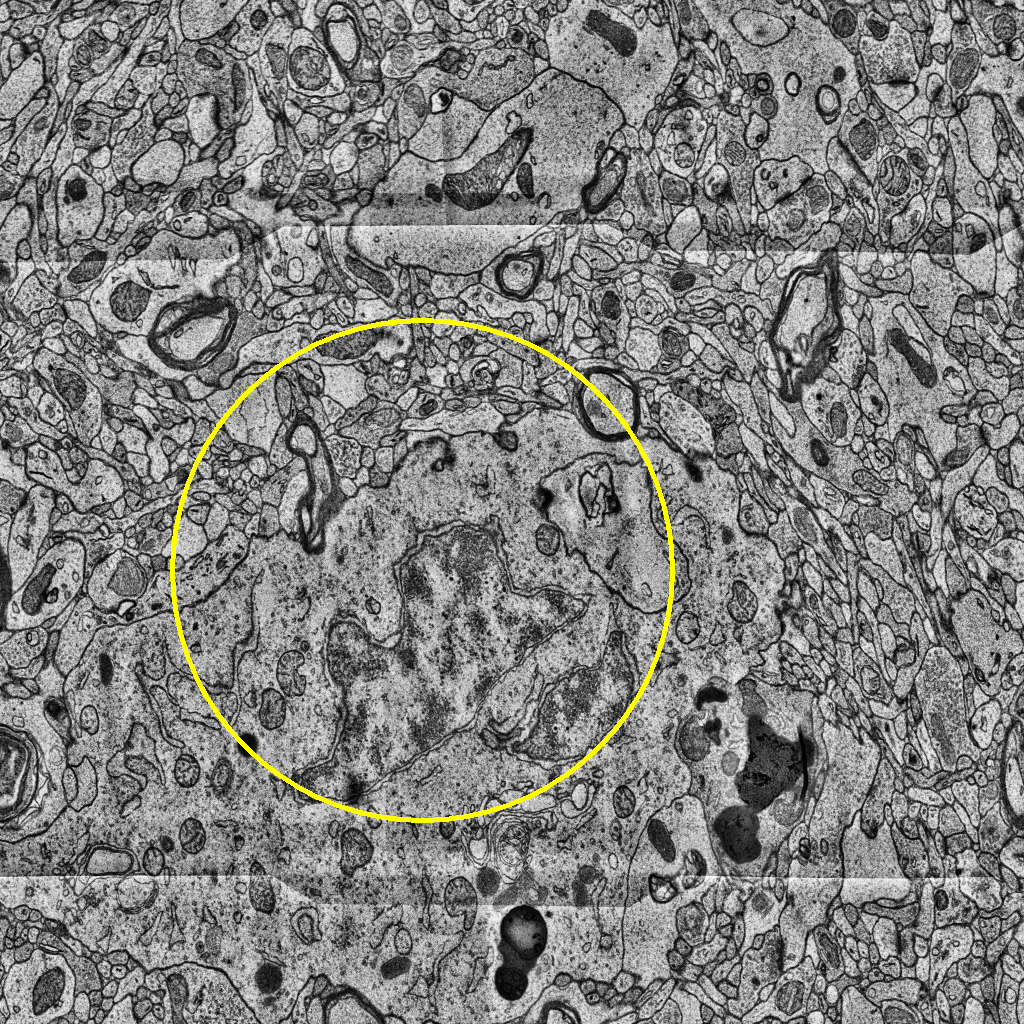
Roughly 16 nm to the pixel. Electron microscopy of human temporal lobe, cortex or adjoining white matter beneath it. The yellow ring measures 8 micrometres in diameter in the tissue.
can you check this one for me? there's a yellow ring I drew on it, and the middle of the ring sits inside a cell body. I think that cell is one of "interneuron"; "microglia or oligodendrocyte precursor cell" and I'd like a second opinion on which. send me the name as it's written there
interneuron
